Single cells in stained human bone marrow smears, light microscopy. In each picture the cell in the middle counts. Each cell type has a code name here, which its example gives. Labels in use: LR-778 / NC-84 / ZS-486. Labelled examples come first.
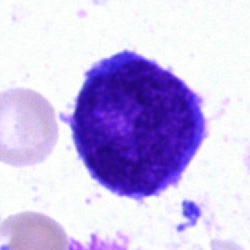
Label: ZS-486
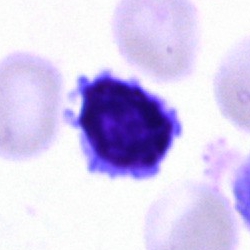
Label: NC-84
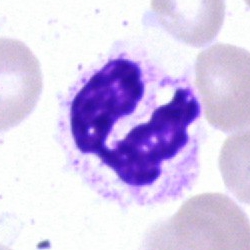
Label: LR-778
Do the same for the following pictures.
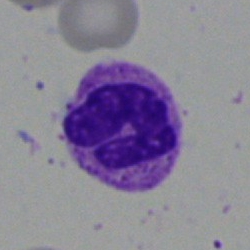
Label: LR-778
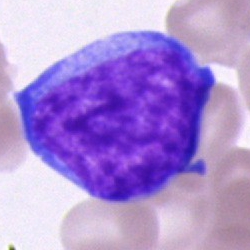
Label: ZS-486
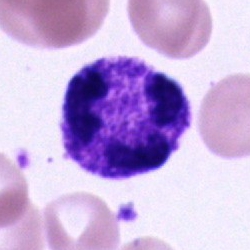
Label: LR-778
